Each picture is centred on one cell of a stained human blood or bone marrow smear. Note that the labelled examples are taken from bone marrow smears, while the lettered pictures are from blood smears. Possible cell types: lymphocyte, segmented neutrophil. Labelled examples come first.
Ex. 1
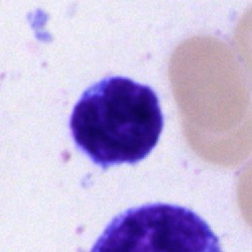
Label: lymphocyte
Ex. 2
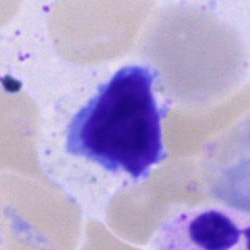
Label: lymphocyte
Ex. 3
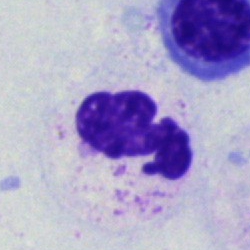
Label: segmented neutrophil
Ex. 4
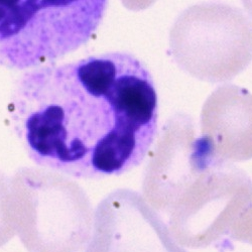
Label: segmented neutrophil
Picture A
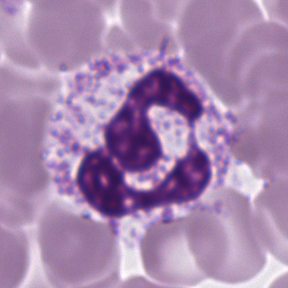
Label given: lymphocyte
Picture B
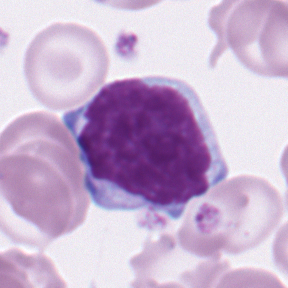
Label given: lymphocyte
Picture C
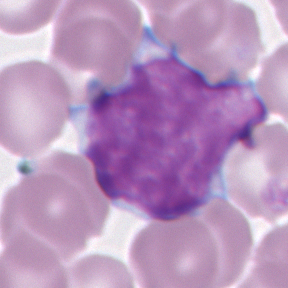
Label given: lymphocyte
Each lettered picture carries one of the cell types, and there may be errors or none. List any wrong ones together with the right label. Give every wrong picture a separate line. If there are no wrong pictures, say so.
A: not lymphocyte but segmented neutrophil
